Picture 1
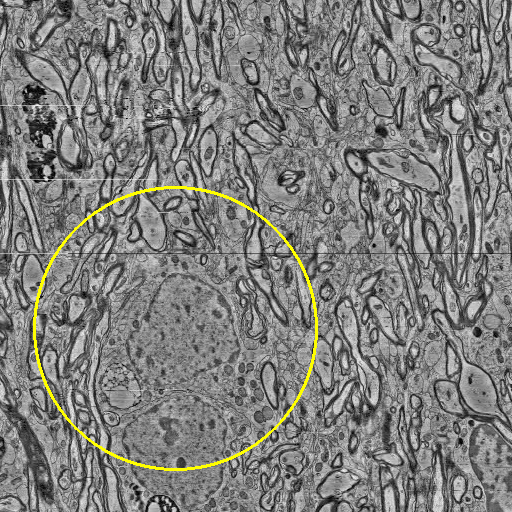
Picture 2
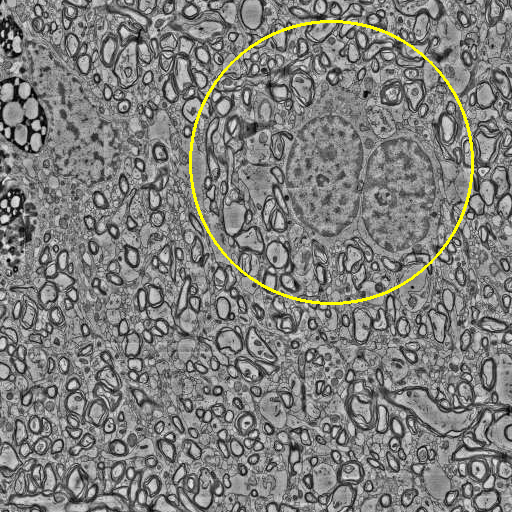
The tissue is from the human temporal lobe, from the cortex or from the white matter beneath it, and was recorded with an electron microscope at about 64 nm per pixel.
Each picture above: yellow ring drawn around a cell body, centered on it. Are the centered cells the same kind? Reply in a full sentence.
No, the two cells are two kinds of cell.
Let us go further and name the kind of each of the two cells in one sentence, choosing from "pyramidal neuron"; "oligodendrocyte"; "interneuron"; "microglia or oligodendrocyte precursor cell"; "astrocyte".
The ring of the first picture is on an astrocyte, the ring of the second on an oligodendrocyte.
